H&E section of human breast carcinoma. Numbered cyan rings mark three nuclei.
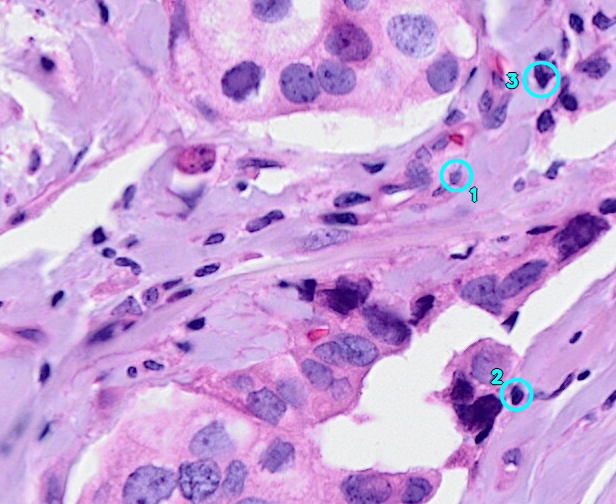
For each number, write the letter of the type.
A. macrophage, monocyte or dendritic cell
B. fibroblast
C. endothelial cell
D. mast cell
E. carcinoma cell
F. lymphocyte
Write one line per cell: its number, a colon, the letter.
1: C
2: F
3: F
